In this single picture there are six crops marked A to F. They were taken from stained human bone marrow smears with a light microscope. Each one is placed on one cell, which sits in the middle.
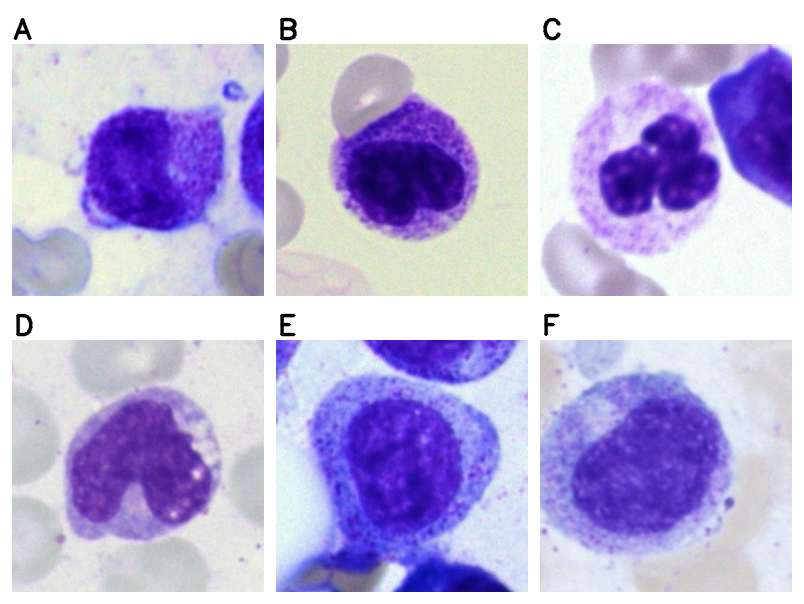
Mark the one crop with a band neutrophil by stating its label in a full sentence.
Crop B is the one depicting a band neutrophil.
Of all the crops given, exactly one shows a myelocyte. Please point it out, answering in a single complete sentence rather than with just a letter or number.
The crop carrying a myelocyte at the center is crop F.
